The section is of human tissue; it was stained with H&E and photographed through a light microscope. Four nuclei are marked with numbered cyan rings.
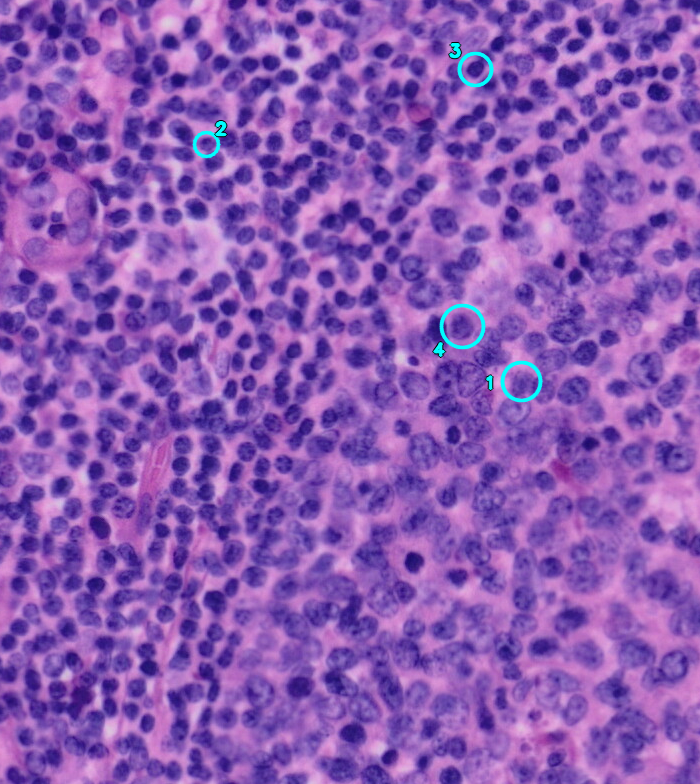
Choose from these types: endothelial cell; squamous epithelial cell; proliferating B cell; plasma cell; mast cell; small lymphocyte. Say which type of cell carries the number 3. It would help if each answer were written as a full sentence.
Corresponding to a small lymphocyte is the cell labelled 3.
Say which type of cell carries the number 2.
The mark numbered 2 indicates the nucleus of a small lymphocyte.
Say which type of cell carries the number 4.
Cell 4 in the field of view is a proliferating B cell.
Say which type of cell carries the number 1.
In this section, the cell tagged 1 is a proliferating B cell.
